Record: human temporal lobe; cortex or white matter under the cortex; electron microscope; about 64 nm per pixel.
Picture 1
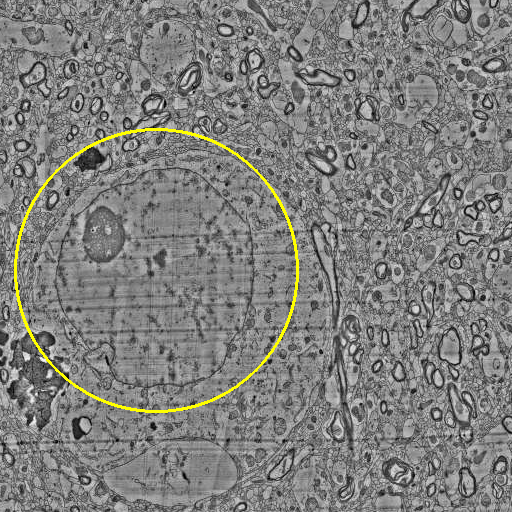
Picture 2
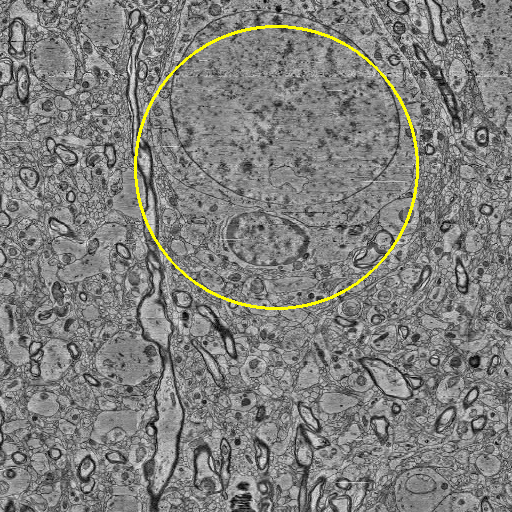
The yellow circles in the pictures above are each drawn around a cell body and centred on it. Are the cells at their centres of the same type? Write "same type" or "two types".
same type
